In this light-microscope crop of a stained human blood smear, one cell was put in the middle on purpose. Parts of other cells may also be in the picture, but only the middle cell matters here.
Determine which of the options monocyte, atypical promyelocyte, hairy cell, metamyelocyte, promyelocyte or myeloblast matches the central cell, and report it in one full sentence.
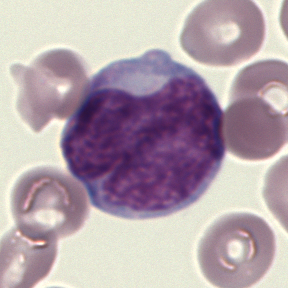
This crop's central cell is an atypical promyelocyte.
